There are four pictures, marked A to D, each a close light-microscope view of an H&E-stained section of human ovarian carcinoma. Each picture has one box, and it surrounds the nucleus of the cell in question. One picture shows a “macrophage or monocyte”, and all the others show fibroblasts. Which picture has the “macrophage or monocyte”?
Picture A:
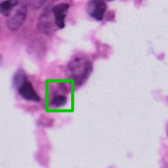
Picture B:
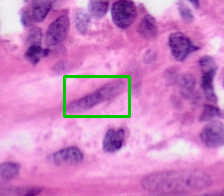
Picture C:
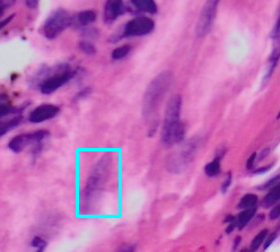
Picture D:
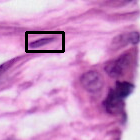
A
